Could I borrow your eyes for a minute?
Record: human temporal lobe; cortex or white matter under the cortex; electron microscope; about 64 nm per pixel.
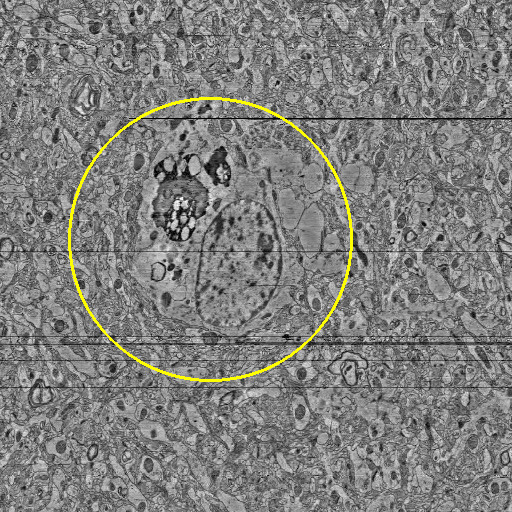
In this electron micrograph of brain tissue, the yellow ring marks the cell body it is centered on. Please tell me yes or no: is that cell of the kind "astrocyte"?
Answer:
yes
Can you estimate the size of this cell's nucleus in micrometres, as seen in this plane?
In this plane the nucleus is clearly longer than it is wide: roughly 9 by 5 micrometres.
